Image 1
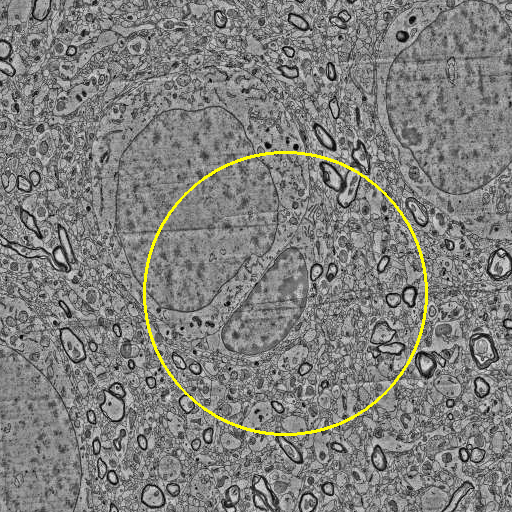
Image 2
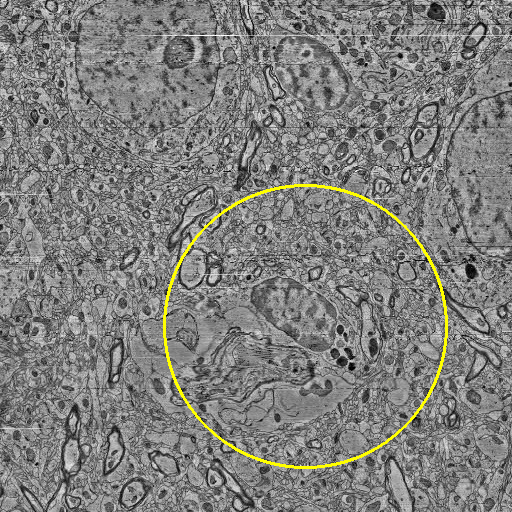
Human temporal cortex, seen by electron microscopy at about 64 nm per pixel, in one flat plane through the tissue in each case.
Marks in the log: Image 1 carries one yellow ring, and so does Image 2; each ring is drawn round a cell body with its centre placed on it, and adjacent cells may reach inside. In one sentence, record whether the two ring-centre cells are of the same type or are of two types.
The two cells at the ring centres, one in each image, are of the same type.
